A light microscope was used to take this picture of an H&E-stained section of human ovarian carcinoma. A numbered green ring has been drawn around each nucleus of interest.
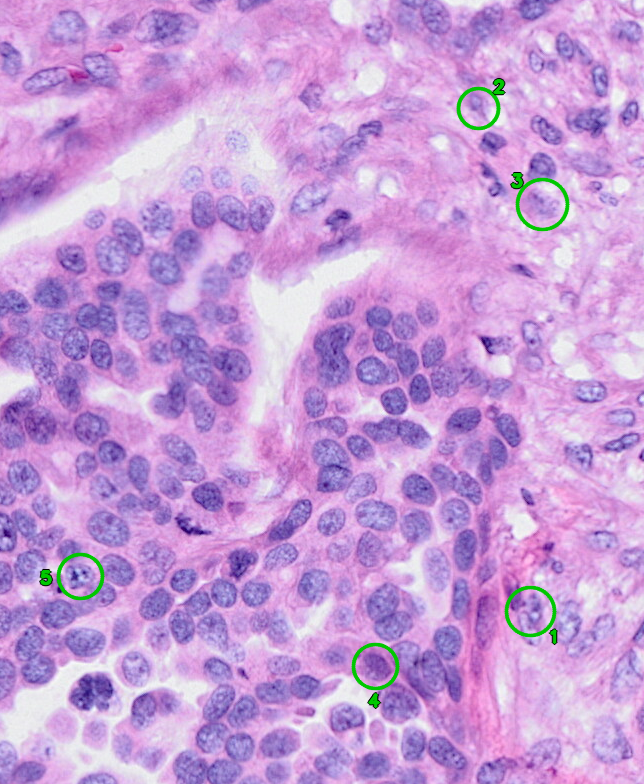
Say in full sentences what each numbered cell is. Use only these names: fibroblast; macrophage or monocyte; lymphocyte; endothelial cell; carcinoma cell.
Cell 1 is a fibroblast, cell 2 is a fibroblast, cell 3 is a fibroblast, cell 4 is a carcinoma cell and cell 5 is a macrophage or monocyte.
